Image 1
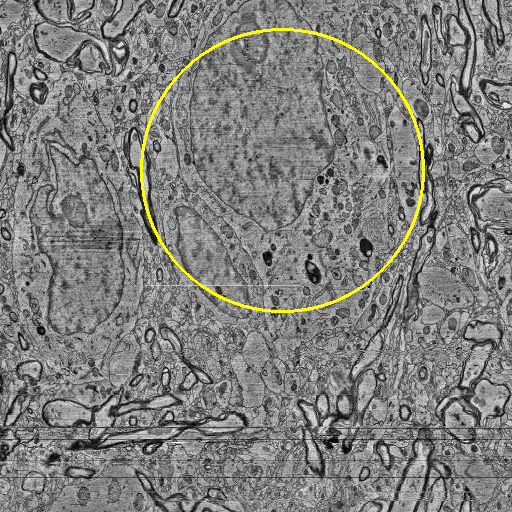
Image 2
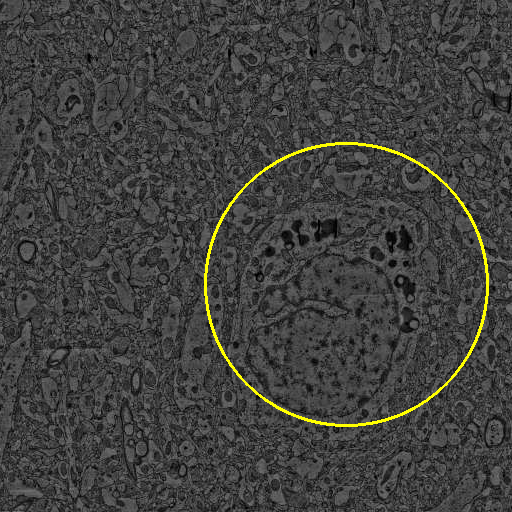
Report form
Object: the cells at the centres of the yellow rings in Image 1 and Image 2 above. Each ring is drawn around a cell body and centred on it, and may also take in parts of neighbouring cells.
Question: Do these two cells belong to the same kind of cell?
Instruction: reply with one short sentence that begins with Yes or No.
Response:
Yes, both belong to the same kind of cell.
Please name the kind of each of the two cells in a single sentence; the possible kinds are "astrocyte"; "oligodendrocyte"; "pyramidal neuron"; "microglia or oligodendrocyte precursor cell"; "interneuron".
Each of the two rings surrounds an interneuron.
